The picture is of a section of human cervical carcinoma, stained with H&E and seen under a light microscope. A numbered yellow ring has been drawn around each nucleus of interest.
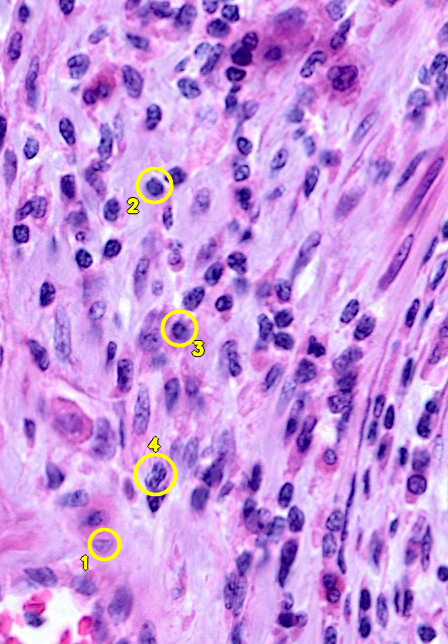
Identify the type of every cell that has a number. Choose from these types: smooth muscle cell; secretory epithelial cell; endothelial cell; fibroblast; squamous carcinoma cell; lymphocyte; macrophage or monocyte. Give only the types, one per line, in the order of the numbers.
smooth muscle cell
lymphocyte
lymphocyte
lymphocyte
